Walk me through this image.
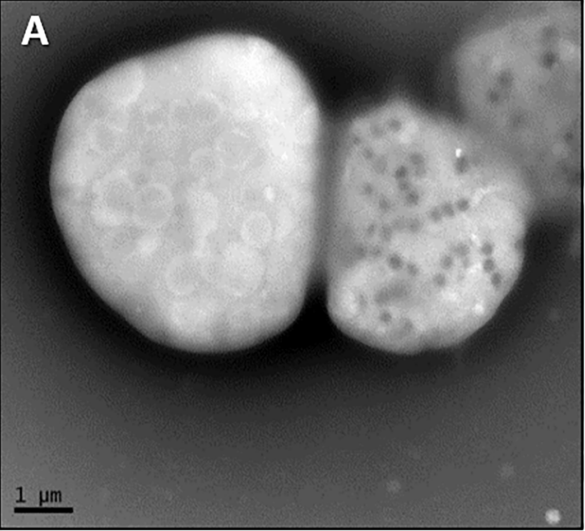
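Several rounded platelets without a nucleus fill the view, the largest a few micrometres across. The cytoplasm is packed with pale round granules, and one smaller platelet shows grey speckles. None of them holds the sharply black dense dots that mark delta granules.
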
